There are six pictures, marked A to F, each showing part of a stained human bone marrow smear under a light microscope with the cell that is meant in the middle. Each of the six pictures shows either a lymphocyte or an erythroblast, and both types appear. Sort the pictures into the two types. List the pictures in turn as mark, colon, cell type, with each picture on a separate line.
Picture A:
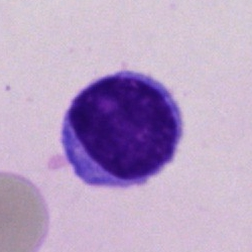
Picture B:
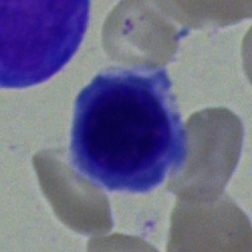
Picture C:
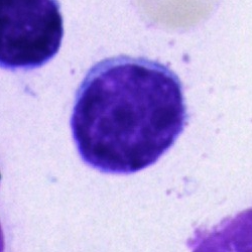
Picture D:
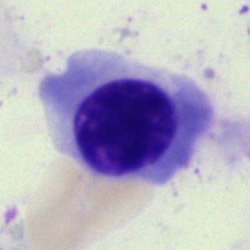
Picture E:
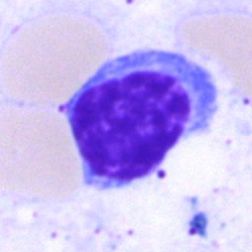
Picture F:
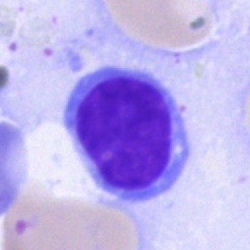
A: lymphocyte
B: erythroblast
C: lymphocyte
D: erythroblast
E: lymphocyte
F: lymphocyte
